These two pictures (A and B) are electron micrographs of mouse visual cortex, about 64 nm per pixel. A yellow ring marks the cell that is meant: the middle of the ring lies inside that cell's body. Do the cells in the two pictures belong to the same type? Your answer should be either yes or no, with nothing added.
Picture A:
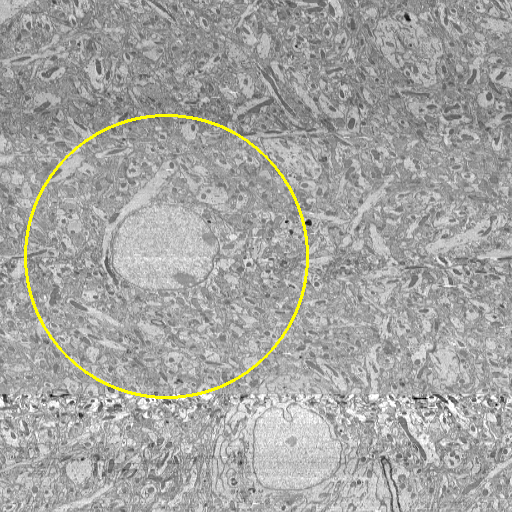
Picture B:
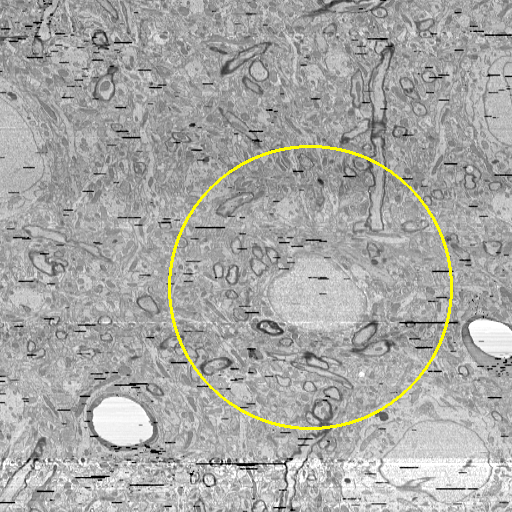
yes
